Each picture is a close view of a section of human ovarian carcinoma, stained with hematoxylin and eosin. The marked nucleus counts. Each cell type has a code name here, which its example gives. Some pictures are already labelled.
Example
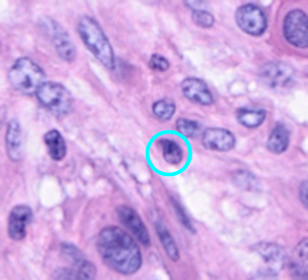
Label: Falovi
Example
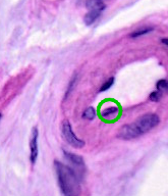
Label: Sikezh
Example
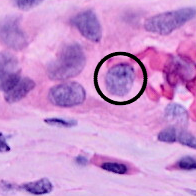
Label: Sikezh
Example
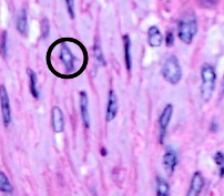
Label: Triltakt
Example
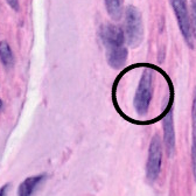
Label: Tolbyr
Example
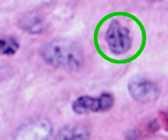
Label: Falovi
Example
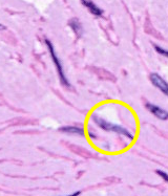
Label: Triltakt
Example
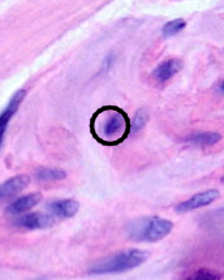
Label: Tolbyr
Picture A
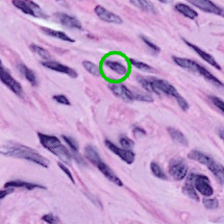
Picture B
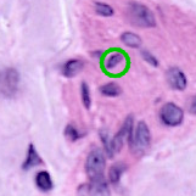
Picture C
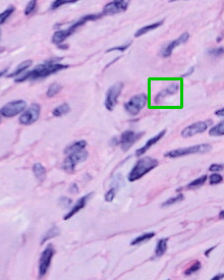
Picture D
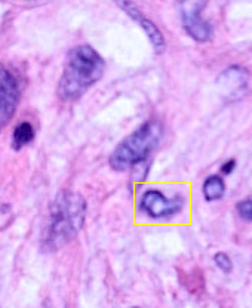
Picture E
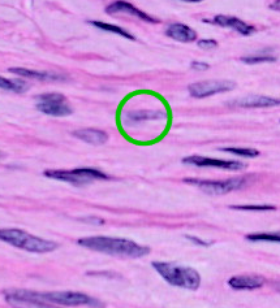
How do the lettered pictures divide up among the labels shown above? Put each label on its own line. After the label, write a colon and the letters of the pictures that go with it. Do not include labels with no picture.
Triltakt: D
Tolbyr: A, B, C, E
